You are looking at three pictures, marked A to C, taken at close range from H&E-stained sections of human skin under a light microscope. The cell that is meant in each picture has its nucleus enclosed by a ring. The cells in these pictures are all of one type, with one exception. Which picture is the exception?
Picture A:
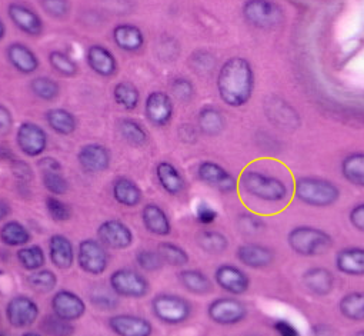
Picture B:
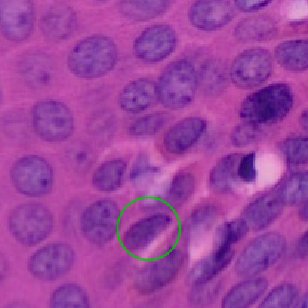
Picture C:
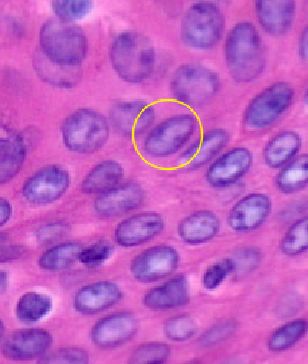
B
